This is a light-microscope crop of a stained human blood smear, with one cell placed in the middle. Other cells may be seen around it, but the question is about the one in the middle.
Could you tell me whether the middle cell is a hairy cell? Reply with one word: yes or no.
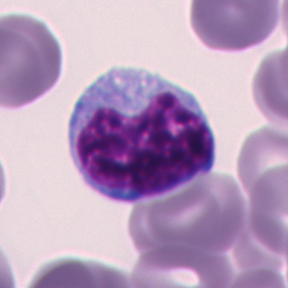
no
